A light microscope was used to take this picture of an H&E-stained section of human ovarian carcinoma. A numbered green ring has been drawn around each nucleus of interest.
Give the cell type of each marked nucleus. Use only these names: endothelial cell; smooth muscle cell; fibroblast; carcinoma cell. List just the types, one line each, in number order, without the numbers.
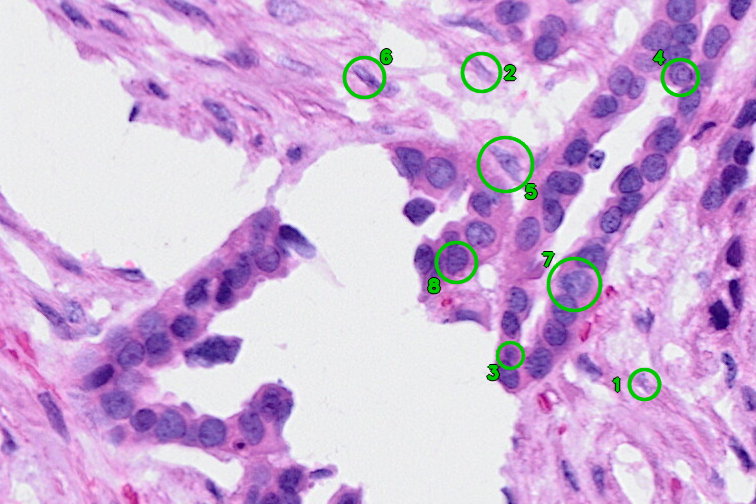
fibroblast
fibroblast
carcinoma cell
carcinoma cell
fibroblast
fibroblast
carcinoma cell
carcinoma cell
